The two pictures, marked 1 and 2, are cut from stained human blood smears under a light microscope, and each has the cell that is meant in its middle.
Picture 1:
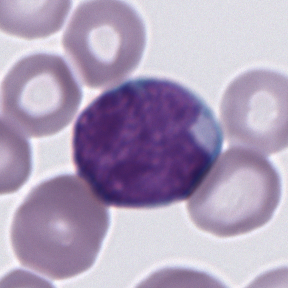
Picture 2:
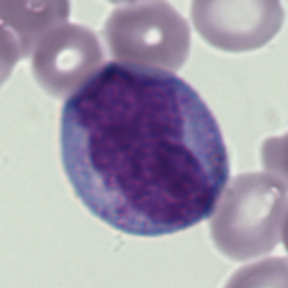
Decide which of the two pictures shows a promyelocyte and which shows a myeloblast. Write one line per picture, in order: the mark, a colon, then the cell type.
1: myeloblast
2: promyelocyte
